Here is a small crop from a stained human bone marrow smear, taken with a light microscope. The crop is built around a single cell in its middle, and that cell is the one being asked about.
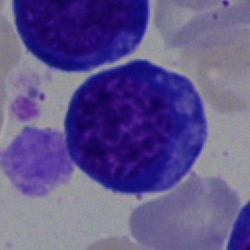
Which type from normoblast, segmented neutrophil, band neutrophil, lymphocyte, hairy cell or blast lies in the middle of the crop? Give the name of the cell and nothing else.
normoblast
